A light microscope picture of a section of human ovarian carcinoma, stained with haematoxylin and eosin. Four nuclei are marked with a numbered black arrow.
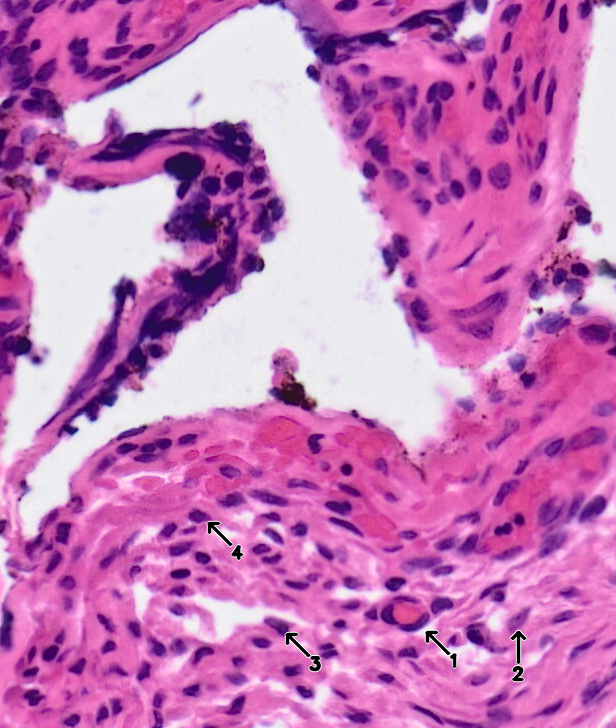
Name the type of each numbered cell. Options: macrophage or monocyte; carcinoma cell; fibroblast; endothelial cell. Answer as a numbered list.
1. endothelial cell
2. fibroblast
3. fibroblast
4. fibroblast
